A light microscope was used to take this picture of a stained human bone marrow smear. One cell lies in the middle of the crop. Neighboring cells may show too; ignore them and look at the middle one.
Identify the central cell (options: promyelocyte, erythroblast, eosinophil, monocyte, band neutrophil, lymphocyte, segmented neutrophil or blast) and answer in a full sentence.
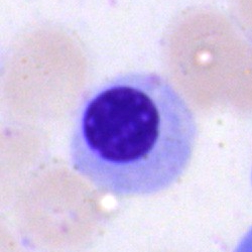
The cell found in the middle of this crop is an erythroblast.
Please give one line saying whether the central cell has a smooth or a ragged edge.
The cell shows a smooth outline that lacks any surface projections.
